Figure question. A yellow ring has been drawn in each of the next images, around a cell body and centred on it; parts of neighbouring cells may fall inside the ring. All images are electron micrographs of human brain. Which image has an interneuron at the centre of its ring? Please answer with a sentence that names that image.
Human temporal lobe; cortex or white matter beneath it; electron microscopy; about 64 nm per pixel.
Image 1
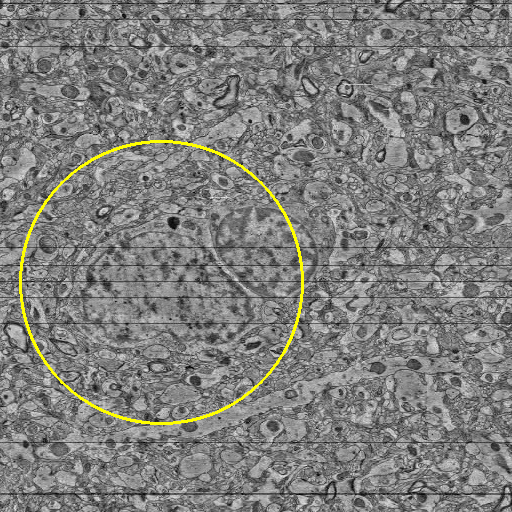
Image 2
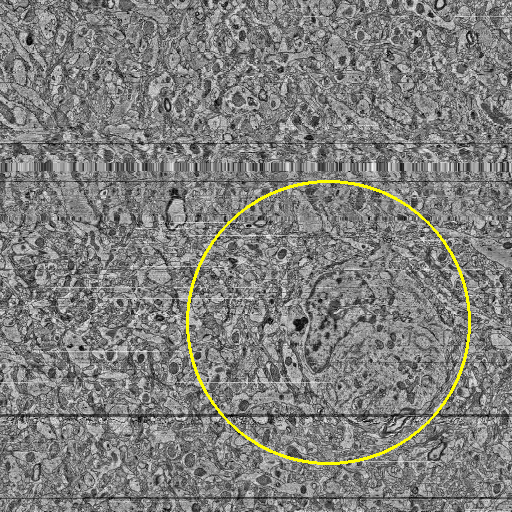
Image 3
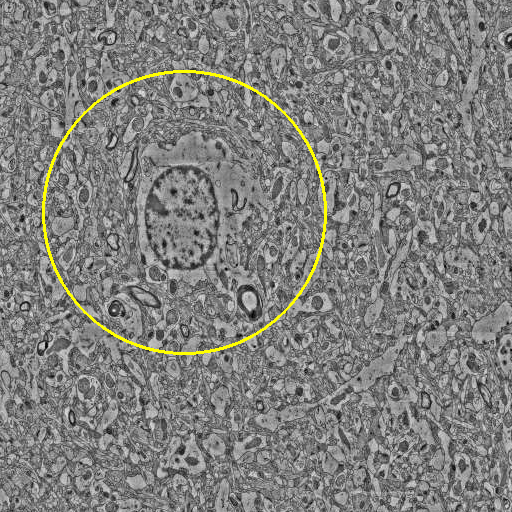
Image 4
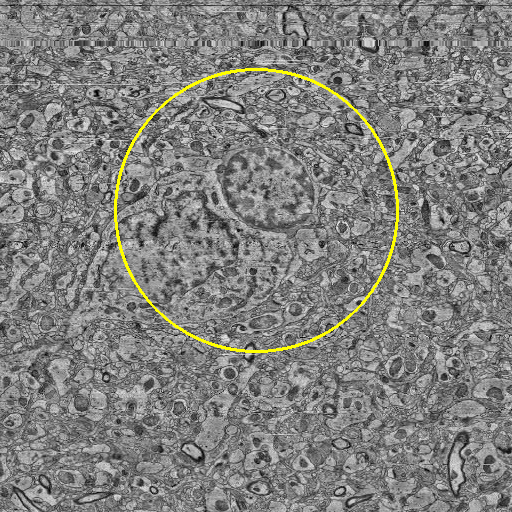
The cell at the centre of the ring in Image 1 is of that kind.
